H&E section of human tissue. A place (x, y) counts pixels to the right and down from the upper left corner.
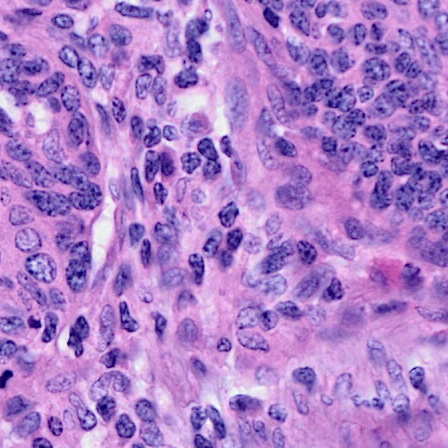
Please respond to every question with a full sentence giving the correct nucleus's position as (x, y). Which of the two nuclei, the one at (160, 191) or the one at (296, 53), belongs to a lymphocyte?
Of the two nuclei, the nucleus of a lymphocyte is at (160, 191).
